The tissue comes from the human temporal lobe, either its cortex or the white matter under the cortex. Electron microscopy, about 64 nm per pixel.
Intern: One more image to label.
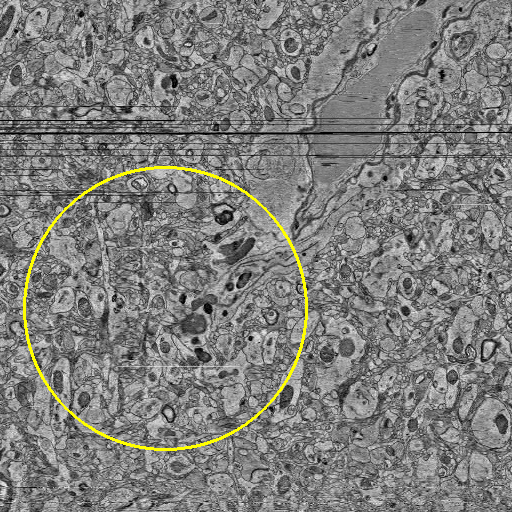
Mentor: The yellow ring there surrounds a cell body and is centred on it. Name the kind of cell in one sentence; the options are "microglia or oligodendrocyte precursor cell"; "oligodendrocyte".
The ring marks the cell body of a microglial cell or oligodendrocyte precursor cell.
